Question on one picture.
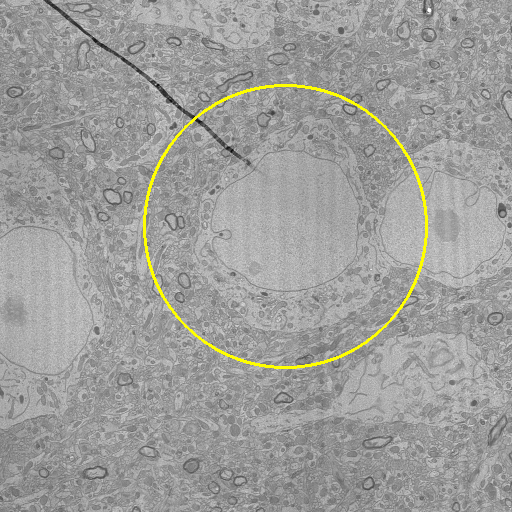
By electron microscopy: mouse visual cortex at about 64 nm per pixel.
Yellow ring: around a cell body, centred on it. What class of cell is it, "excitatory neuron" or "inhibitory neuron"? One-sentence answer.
This is an excitatory neuron, the cell the ring is centred on.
